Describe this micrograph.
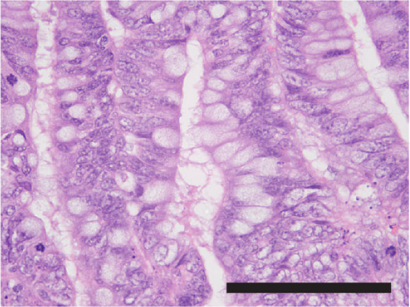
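The columnar cells have crowded, elongated, purple nuclei stacked at different heights in the lining. The goblet cells stand out as large pale, clear vacuoles of mucin bulging within the epithelium. Narrow lumina run between the parallel glands.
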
